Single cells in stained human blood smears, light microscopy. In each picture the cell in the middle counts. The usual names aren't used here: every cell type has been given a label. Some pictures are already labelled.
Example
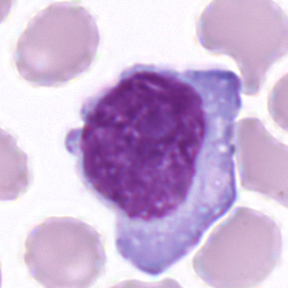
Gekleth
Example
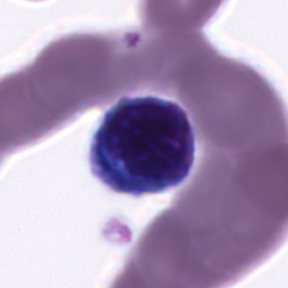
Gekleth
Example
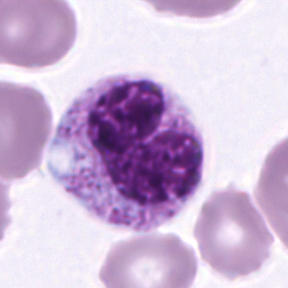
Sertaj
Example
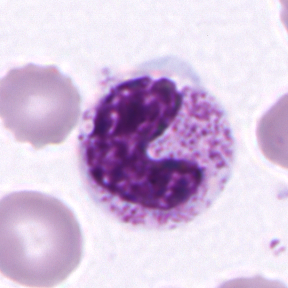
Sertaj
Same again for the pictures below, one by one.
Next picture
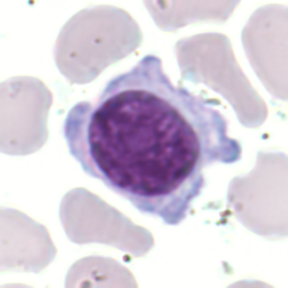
Gekleth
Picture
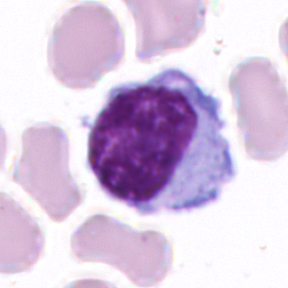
Gekleth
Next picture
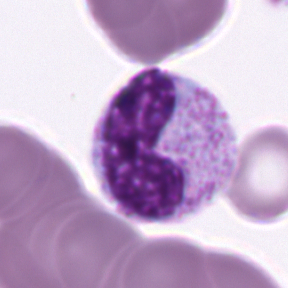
Sertaj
